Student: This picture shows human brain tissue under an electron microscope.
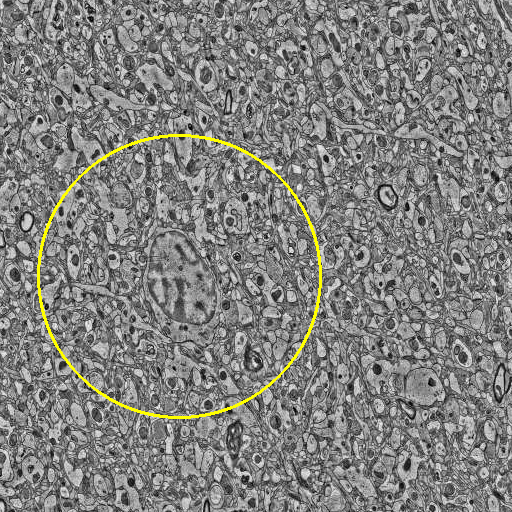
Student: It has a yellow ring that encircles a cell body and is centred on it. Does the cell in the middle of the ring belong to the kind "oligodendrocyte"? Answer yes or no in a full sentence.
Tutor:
Yes, the cell in the middle of the ring in this picture is of that kind.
